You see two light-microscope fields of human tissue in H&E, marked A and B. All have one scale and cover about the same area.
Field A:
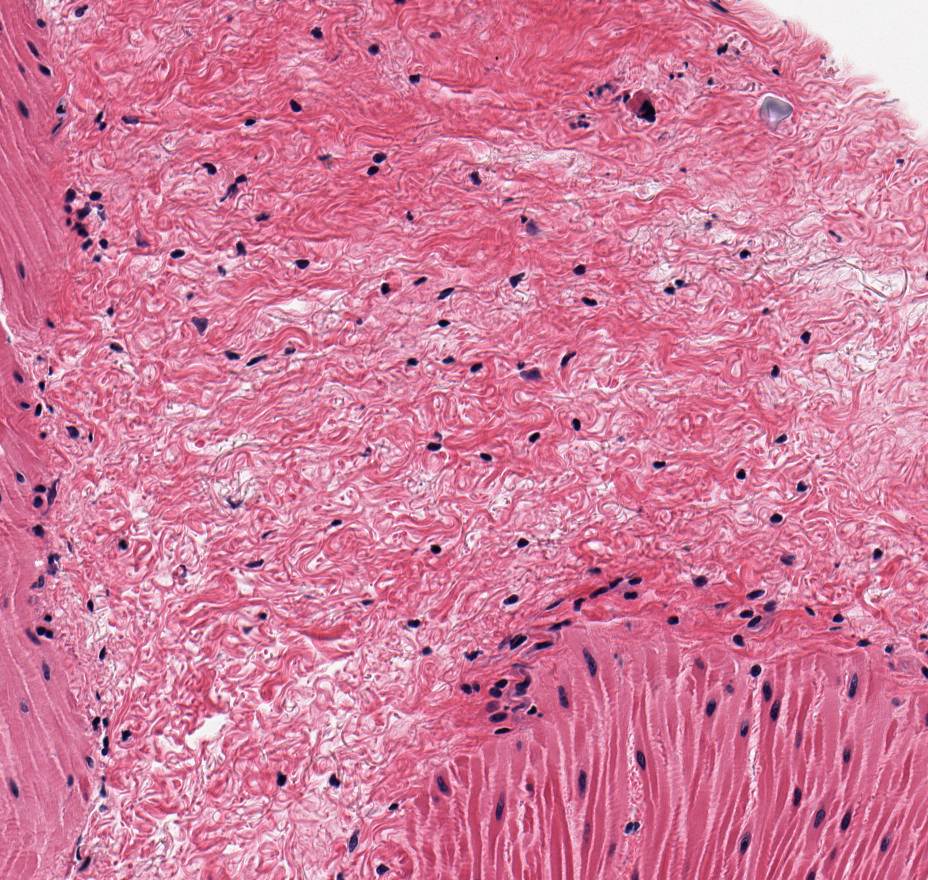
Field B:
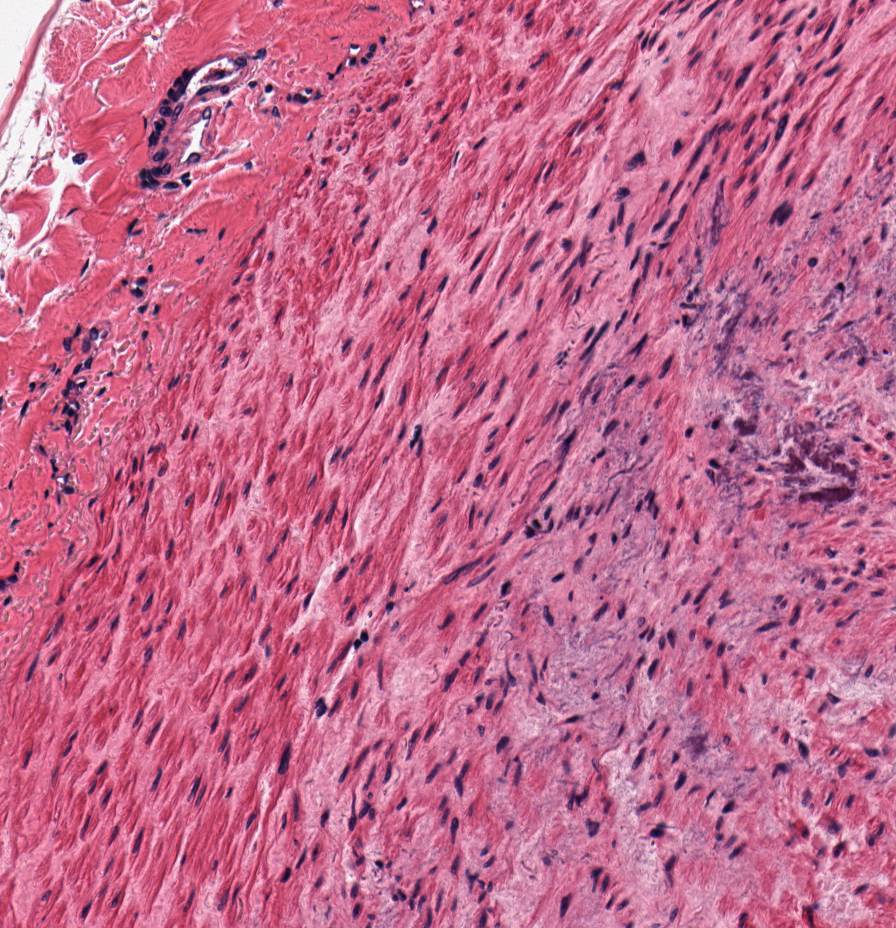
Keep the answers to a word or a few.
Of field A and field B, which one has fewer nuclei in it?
A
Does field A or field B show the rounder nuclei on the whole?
A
